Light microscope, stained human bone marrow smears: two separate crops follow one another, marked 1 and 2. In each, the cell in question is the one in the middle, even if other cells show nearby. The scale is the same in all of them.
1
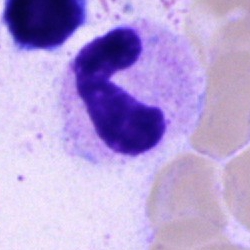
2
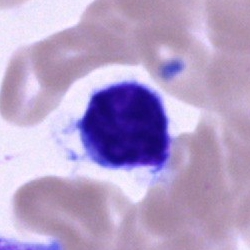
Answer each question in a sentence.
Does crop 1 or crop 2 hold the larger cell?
The cell in crop 1 is larger, with about 2 times the area of the one in crop 2.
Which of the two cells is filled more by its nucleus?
In crop 2 the nucleus takes up the larger part of its cell.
